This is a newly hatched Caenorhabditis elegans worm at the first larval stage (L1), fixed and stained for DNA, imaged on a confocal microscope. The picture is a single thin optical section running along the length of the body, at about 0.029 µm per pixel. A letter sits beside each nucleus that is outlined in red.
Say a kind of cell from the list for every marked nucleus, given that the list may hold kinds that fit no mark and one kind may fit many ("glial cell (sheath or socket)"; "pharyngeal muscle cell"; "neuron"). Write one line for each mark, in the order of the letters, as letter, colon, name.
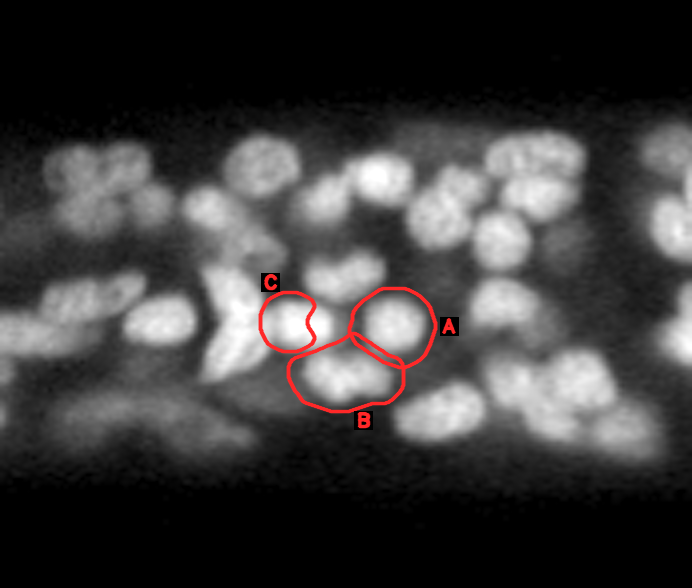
A: neuron
B: pharyngeal muscle cell
C: neuron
